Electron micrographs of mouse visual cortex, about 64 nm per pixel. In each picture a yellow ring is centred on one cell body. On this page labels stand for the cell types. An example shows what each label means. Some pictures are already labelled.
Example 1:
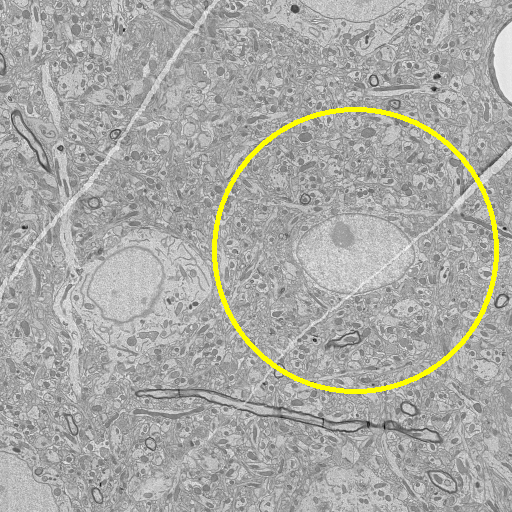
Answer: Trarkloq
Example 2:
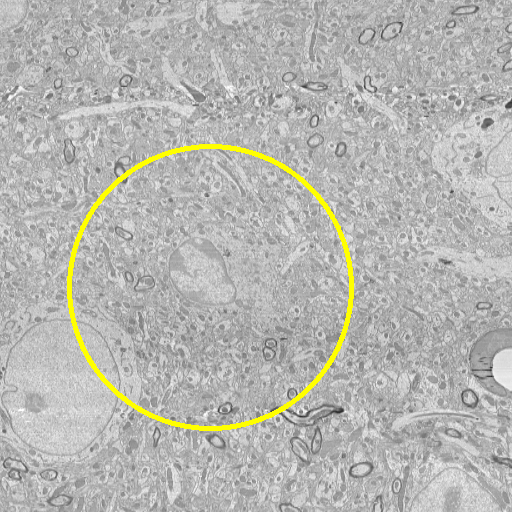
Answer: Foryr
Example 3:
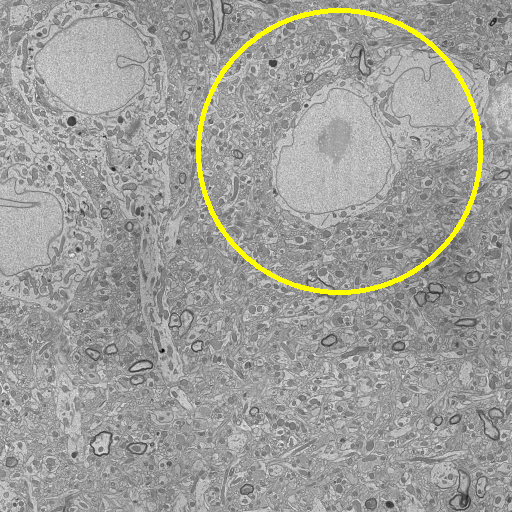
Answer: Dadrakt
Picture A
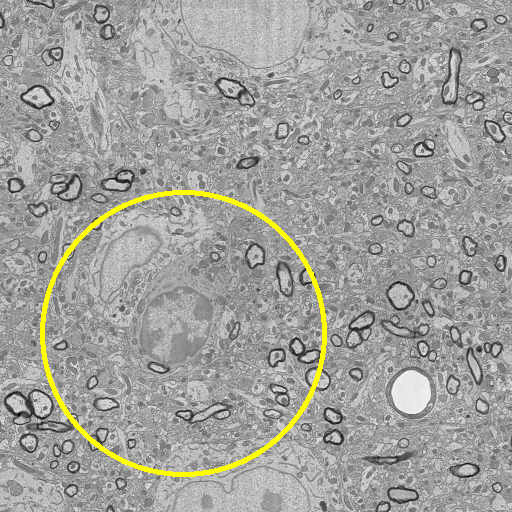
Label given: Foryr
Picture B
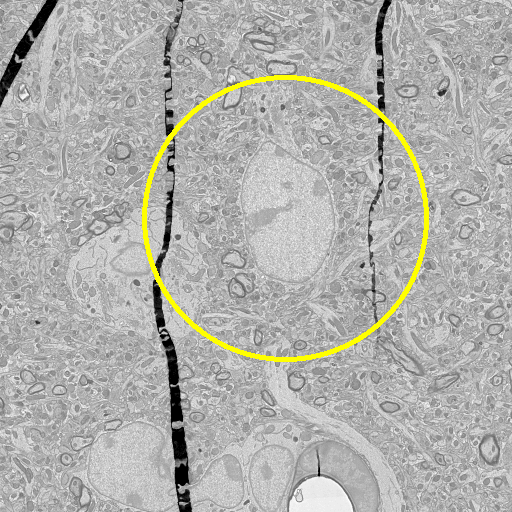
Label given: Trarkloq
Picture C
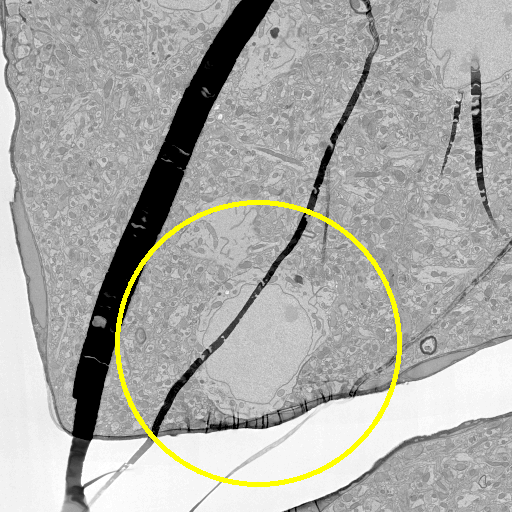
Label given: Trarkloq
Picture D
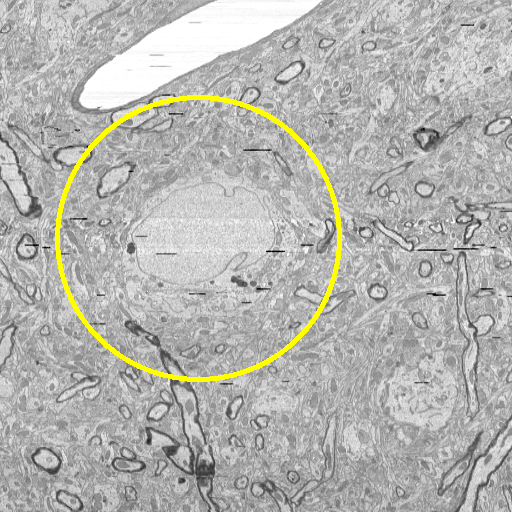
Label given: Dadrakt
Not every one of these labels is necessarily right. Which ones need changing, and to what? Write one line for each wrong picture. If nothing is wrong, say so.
C: Dadrakt, not Trarkloq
